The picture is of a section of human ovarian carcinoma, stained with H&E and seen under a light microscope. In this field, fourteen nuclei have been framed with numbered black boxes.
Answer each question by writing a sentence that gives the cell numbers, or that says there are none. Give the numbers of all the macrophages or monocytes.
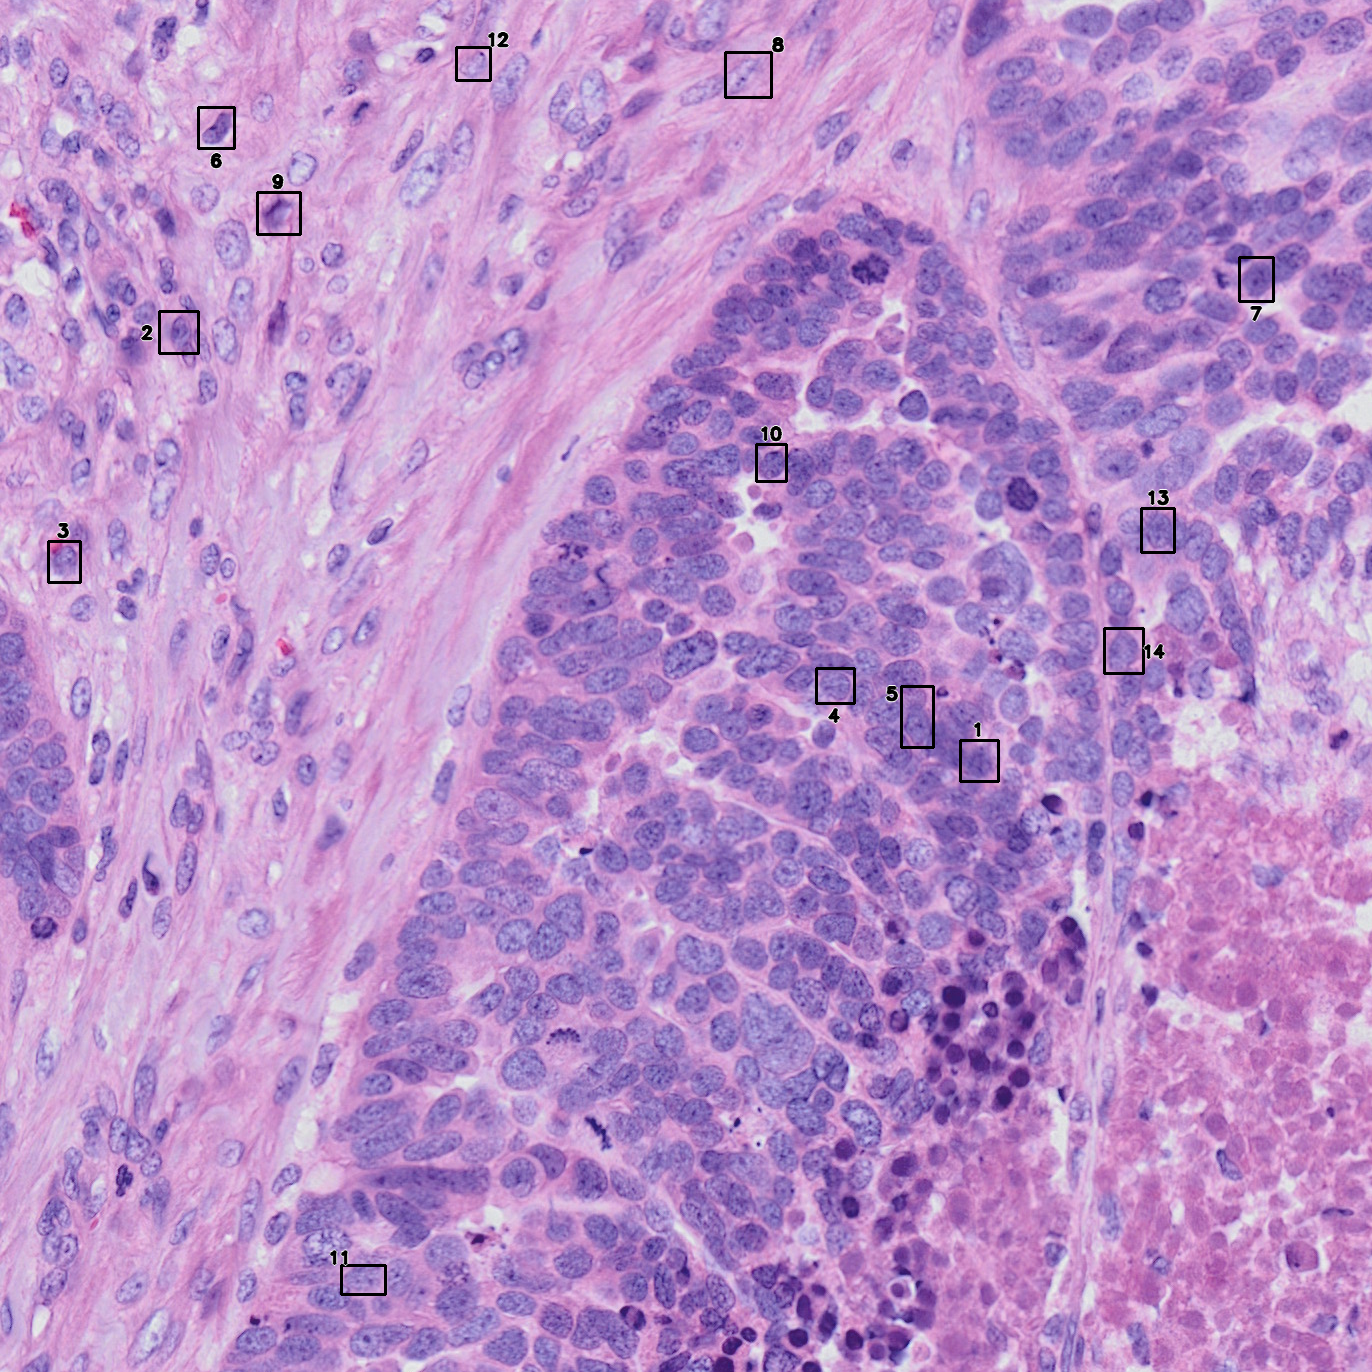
Cell 6, and no other numbered cell, is a macrophage or monocyte.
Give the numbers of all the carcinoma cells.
Identified as carcinoma cells are the cells numbered 1, 4, 5, 7, 10, 11, 13 and 14.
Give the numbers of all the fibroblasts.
The numbers 8, 9 and 12 mark cells that are fibroblasts.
